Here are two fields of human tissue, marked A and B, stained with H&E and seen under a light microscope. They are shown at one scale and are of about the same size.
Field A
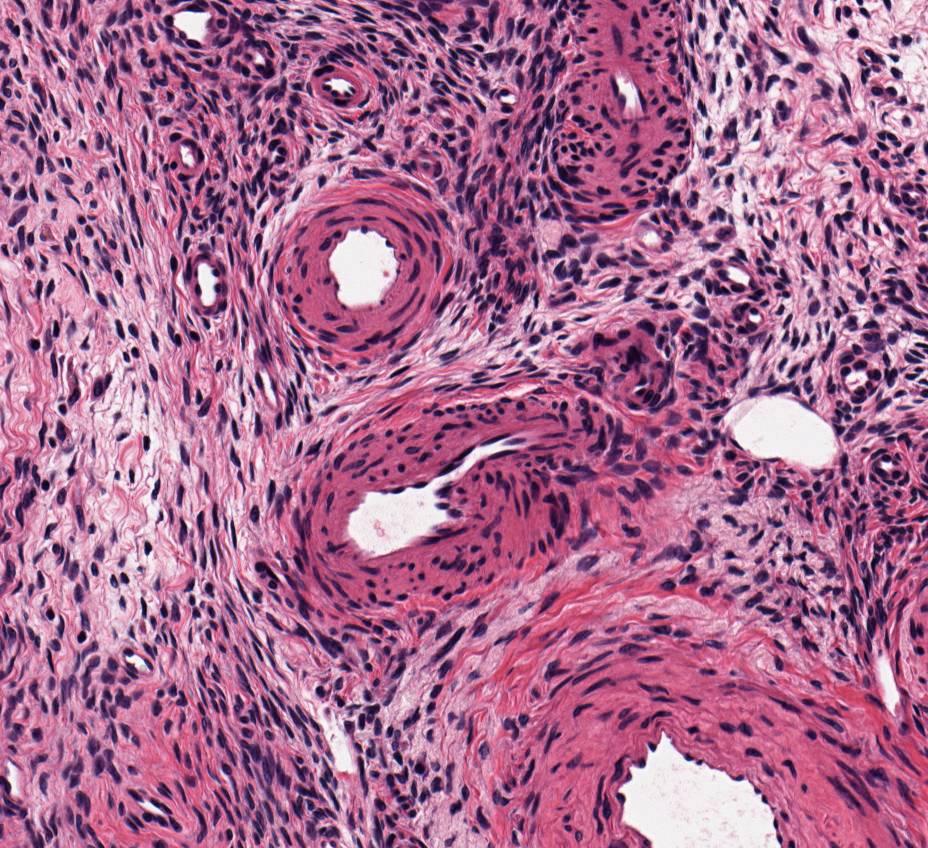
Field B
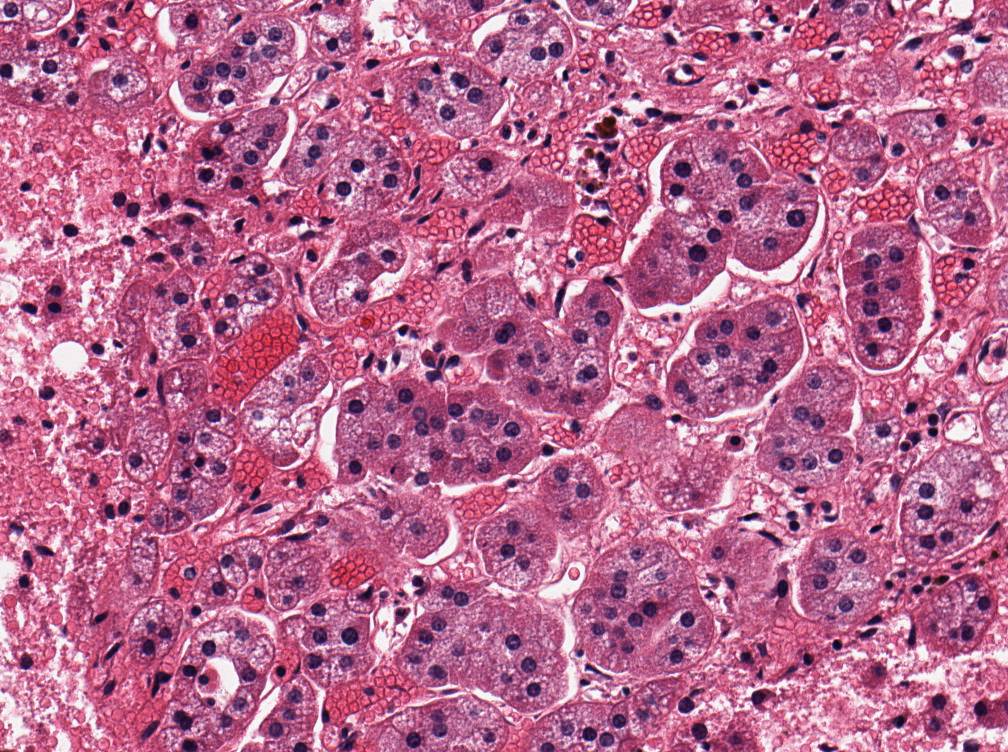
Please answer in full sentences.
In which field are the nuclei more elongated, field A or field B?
The nuclei are more elongated in field A.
